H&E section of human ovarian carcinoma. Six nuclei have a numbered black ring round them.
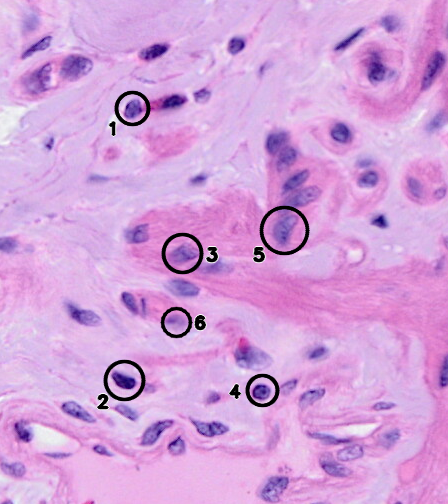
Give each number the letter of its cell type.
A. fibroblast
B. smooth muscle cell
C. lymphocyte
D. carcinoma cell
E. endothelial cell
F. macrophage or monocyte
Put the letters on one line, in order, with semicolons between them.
C; C; B; C; B; B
